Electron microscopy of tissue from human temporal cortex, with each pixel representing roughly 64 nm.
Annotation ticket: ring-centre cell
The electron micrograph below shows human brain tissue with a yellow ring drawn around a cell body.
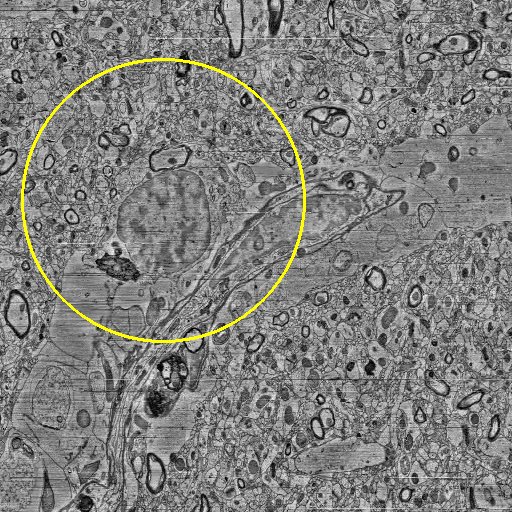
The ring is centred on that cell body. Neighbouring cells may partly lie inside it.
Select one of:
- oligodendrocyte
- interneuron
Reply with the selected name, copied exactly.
oligodendrocyte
